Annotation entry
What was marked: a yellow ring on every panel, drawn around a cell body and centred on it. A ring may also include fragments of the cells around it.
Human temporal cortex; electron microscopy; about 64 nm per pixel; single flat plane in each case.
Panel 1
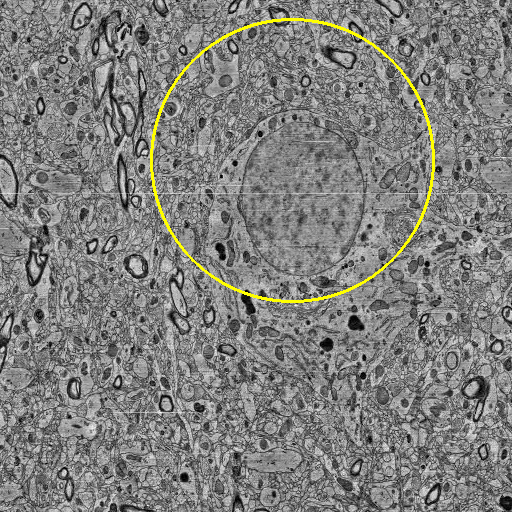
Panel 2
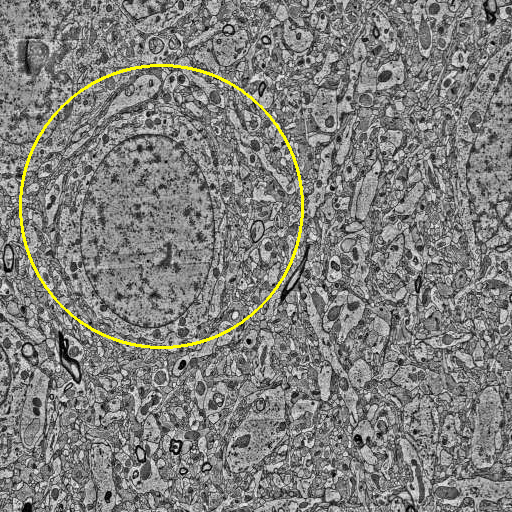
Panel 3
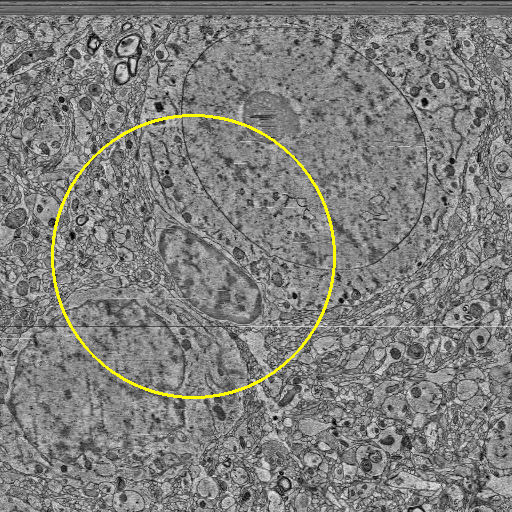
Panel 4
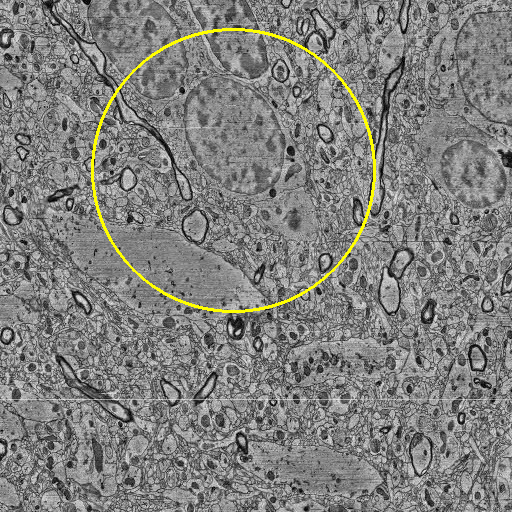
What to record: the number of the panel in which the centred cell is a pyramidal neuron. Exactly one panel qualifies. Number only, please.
2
